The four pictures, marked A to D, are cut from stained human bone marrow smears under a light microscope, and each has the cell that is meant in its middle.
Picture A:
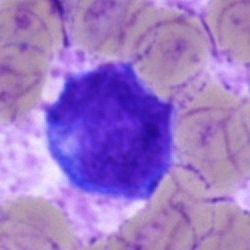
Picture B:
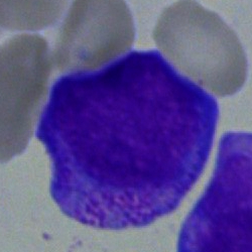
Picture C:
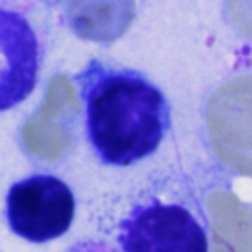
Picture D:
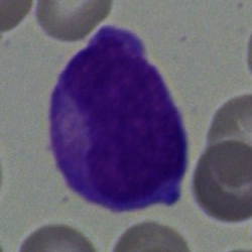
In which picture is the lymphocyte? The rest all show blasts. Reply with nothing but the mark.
C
